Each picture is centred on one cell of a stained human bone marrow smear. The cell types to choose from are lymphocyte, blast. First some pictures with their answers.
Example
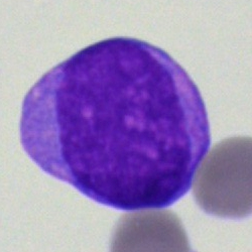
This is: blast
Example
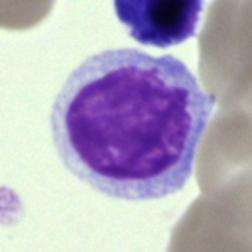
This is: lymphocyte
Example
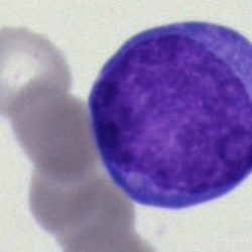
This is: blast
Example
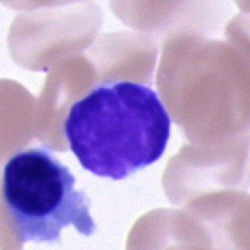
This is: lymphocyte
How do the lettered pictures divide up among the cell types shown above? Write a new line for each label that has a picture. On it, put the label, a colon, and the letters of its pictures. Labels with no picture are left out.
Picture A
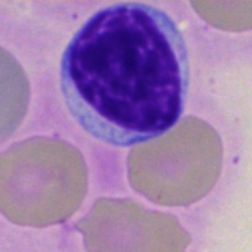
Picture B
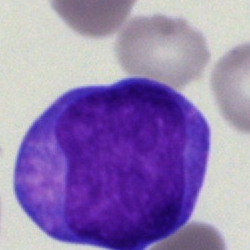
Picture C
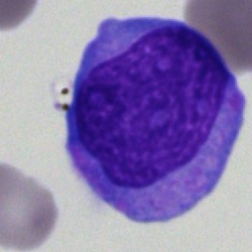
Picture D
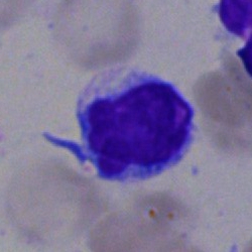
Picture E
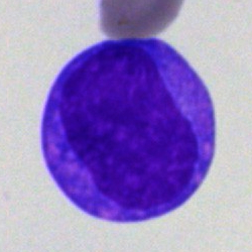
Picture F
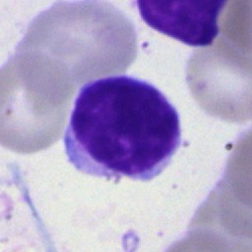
lymphocyte: A, D, F
blast: B, C, E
